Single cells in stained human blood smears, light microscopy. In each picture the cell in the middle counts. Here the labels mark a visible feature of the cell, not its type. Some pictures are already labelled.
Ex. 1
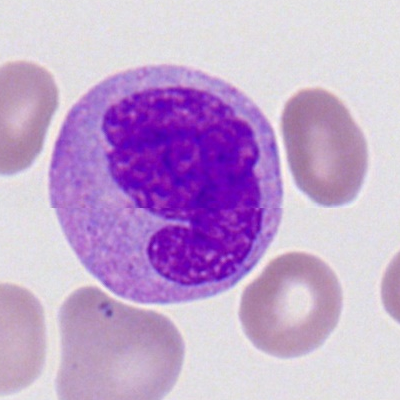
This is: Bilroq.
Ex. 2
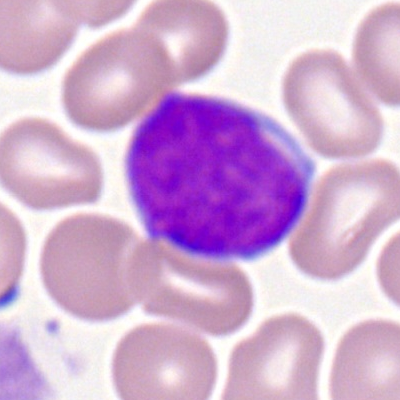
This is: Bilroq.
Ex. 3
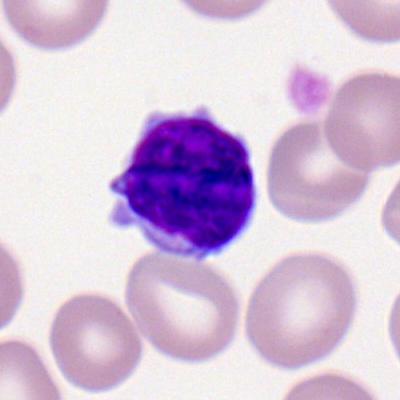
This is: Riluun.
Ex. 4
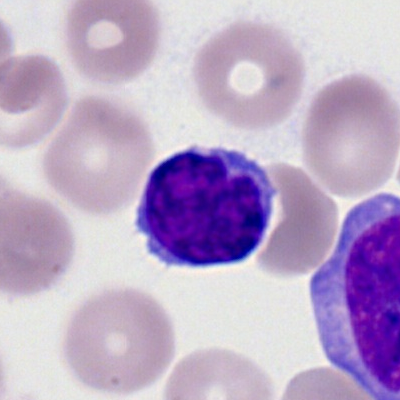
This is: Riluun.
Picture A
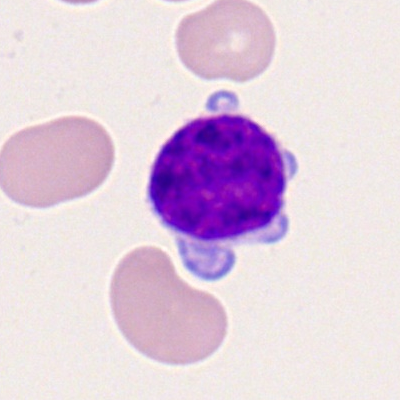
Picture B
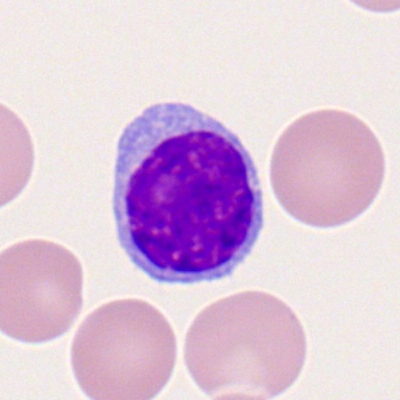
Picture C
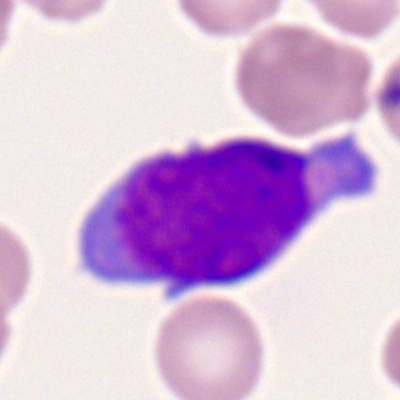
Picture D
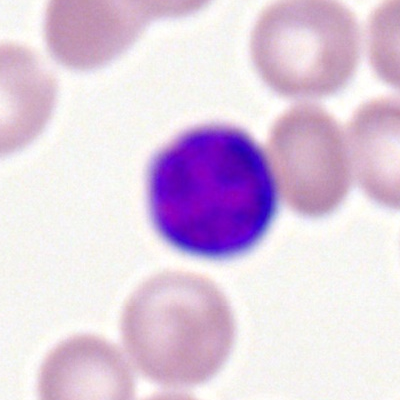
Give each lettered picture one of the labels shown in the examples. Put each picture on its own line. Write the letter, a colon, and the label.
A: Riluun.
B: Bilroq.
C: Riluun.
D: Bilroq.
